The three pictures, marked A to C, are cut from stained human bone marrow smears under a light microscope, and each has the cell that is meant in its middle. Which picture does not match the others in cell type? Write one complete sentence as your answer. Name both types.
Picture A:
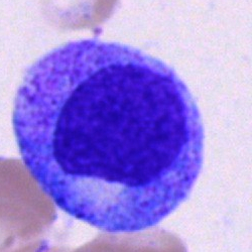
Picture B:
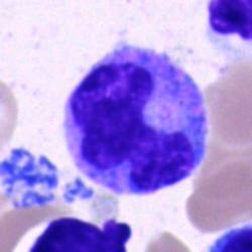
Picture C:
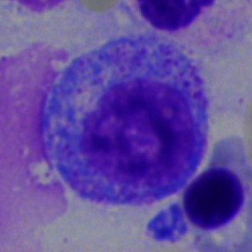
All pictures except B show promyelocytes; picture B shows a monocyte.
